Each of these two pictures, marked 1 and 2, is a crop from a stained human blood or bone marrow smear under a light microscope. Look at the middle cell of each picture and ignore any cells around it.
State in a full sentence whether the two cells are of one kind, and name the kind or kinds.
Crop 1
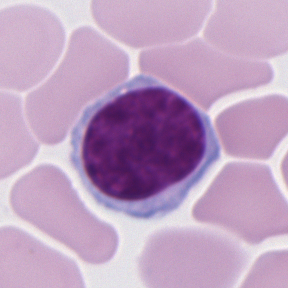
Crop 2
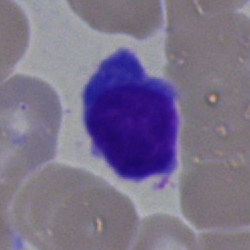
No, the cell centred in crop 2 is a plasma cell; crop 1 centres on a lymphocyte.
